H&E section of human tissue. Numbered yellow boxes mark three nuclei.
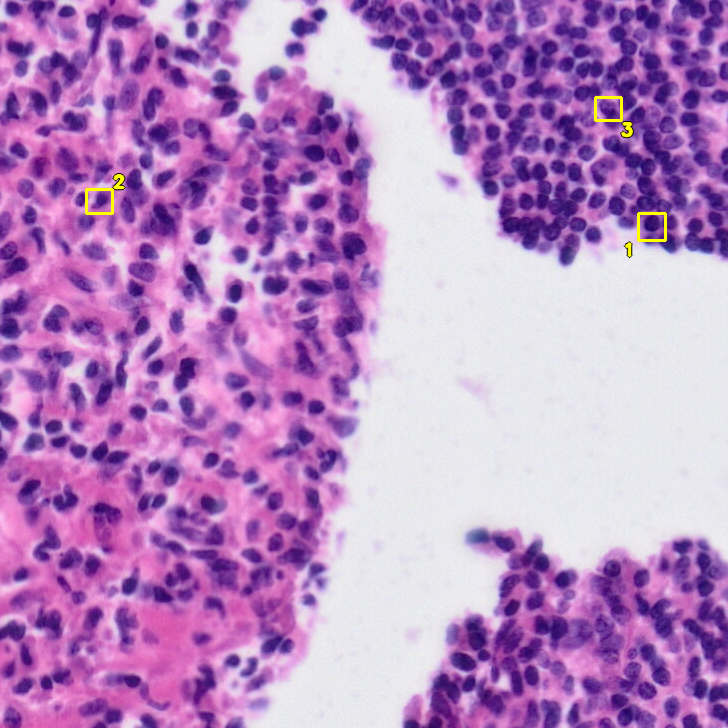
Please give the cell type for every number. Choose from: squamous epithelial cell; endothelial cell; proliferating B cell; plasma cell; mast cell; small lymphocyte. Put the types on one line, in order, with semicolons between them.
small lymphocyte; plasma cell; small lymphocyte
